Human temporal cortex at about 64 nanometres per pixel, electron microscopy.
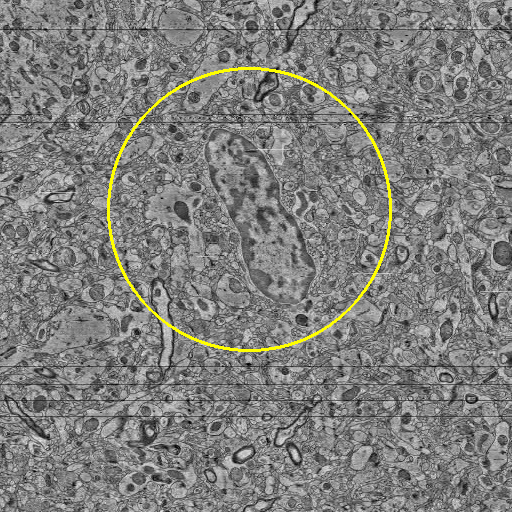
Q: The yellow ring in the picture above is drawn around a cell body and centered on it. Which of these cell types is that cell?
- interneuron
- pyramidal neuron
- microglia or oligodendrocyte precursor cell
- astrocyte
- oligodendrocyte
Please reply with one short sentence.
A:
The cell body at the ring's center belongs to a microglial cell or oligodendrocyte precursor cell.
